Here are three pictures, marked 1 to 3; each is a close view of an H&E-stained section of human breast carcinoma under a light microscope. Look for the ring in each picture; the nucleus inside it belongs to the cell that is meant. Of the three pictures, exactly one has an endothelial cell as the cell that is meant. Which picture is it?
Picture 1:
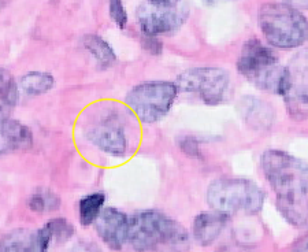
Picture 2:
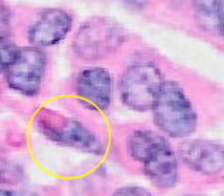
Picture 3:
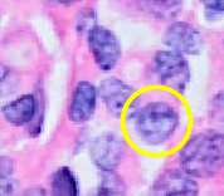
2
